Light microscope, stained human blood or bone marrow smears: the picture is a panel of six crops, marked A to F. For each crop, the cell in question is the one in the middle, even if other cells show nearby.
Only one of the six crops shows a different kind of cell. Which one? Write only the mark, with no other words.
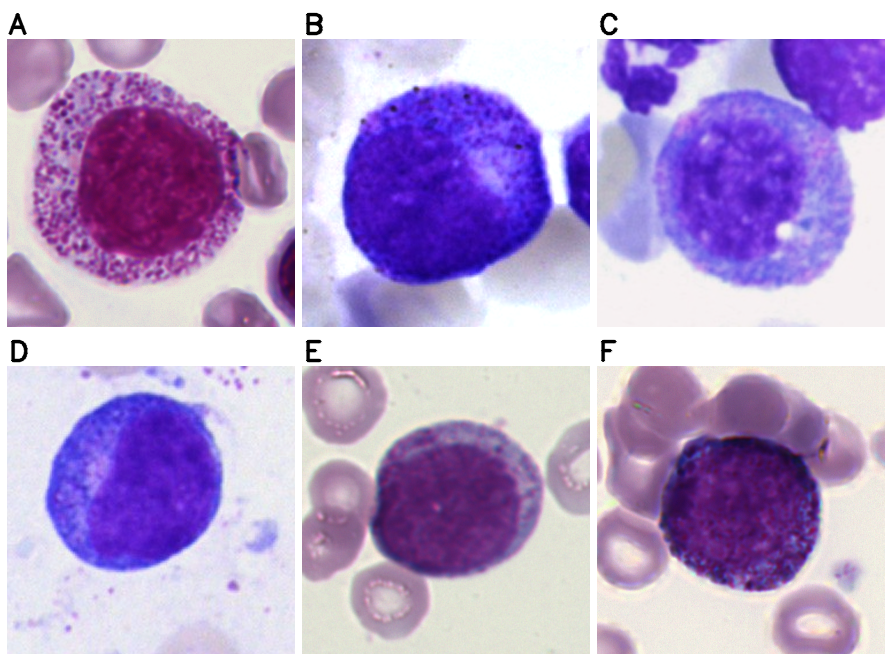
A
